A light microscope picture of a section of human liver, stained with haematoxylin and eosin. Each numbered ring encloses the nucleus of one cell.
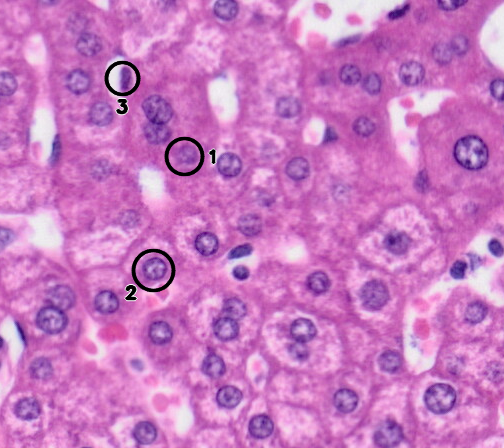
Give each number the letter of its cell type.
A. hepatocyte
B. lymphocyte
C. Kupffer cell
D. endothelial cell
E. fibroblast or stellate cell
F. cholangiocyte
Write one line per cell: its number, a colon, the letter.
1: A
2: A
3: C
